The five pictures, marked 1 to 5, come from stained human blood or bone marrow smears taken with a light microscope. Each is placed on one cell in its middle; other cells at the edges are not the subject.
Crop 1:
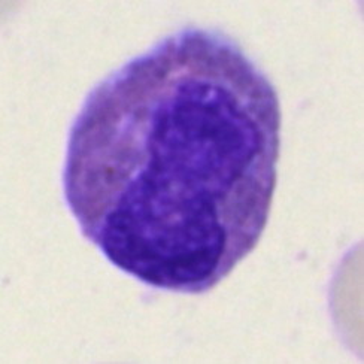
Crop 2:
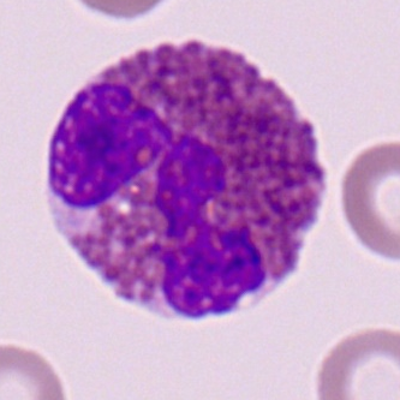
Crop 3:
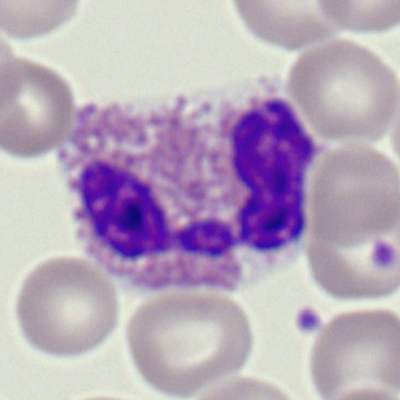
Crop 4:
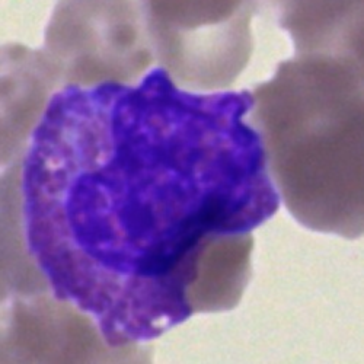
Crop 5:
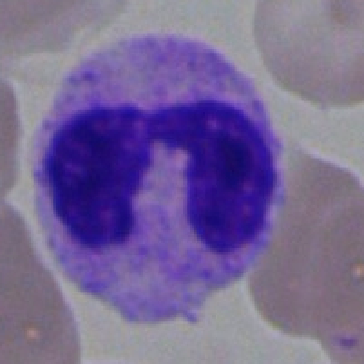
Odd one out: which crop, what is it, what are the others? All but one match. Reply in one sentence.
Seen in crop 5 is a segmented neutrophil, and seen in all other crops are eosinophils.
